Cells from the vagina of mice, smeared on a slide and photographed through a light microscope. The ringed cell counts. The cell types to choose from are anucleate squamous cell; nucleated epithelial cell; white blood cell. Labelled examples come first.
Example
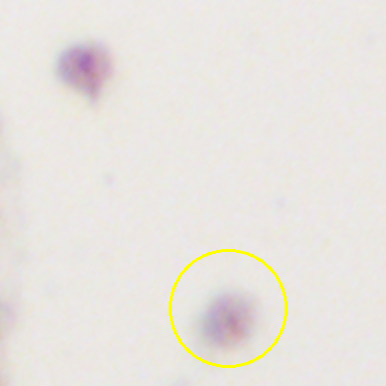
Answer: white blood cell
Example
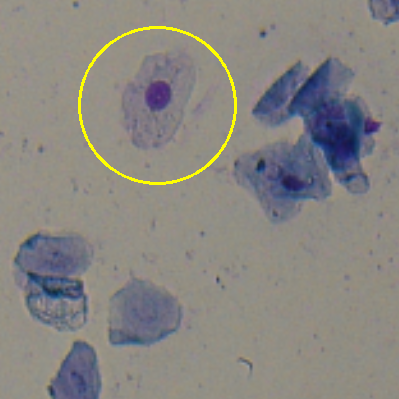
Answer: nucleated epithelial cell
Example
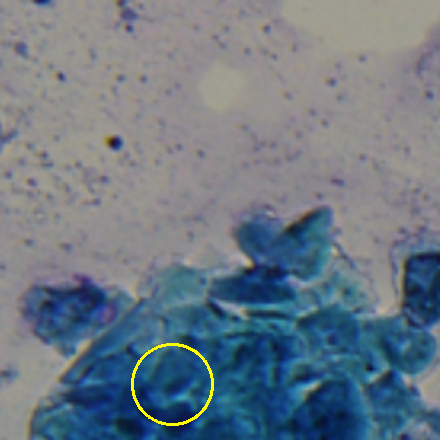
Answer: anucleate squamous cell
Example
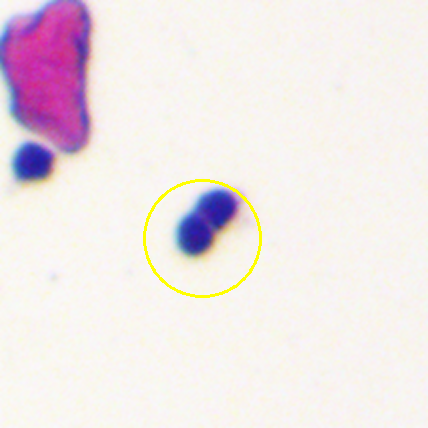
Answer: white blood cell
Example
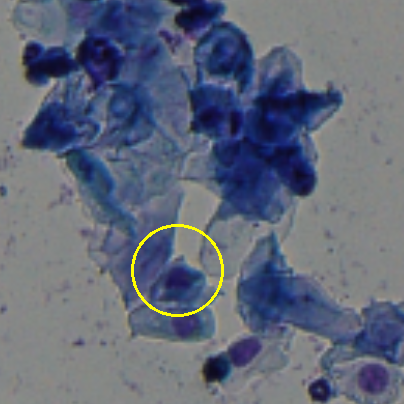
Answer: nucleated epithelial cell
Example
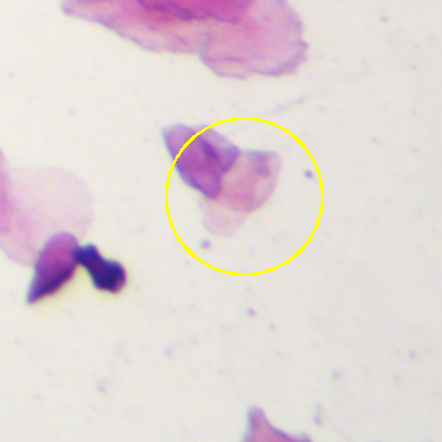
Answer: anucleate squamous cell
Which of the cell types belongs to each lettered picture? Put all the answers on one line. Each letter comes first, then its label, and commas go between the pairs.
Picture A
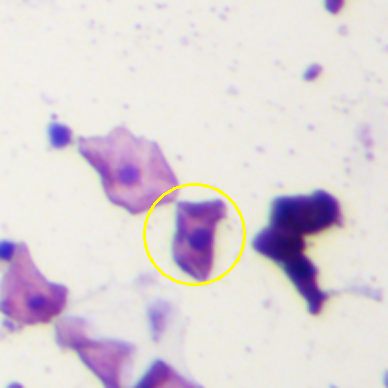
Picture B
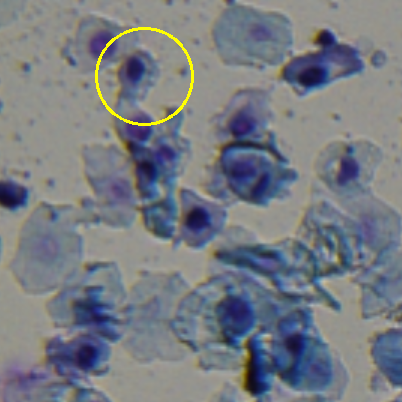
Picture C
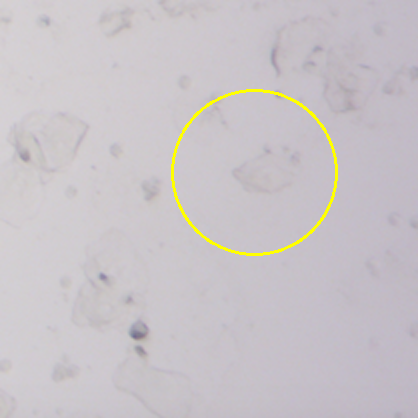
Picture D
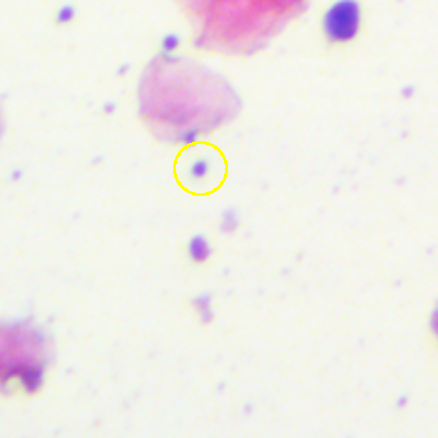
A nucleated epithelial cell, B nucleated epithelial cell, C anucleate squamous cell, D white blood cell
